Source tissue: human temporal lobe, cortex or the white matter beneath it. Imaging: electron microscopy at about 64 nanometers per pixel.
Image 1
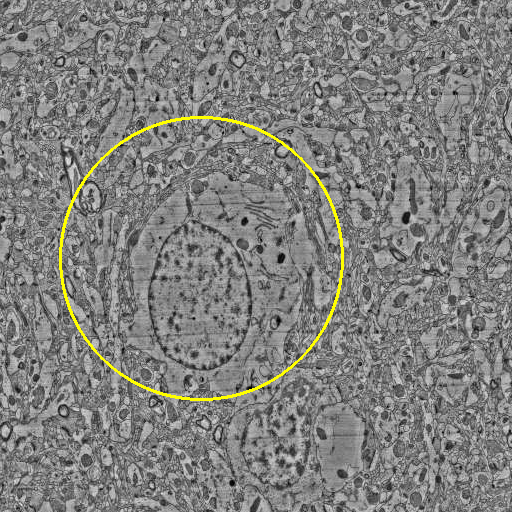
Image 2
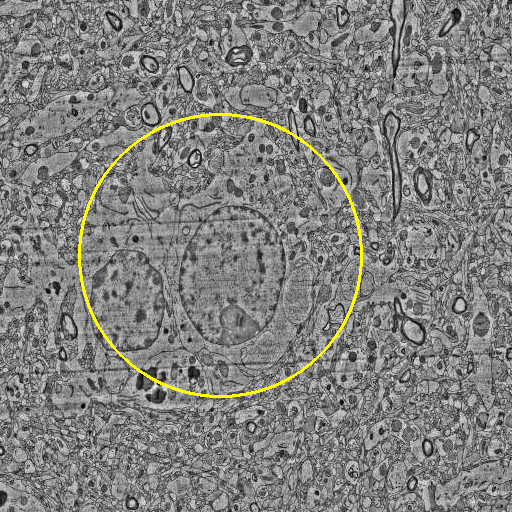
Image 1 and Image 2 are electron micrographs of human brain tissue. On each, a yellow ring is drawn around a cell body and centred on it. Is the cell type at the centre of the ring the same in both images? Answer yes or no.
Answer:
yes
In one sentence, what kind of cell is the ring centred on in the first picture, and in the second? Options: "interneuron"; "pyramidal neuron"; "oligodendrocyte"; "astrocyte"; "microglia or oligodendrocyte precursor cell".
The cell in the first picture is an astrocyte, and so is the one in the second.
